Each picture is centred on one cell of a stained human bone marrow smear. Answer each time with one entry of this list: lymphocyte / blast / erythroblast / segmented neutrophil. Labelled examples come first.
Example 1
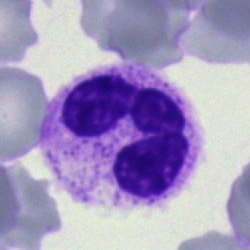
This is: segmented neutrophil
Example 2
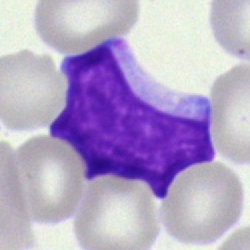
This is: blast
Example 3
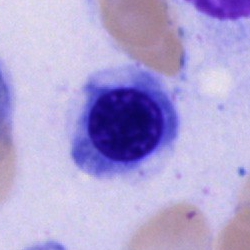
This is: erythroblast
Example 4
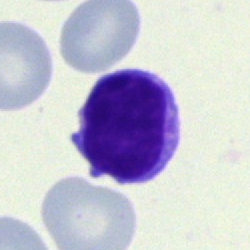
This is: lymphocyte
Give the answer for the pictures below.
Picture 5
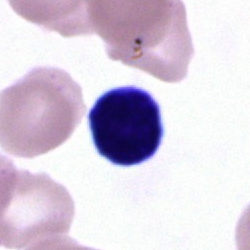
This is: lymphocyte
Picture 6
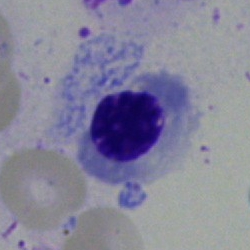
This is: erythroblast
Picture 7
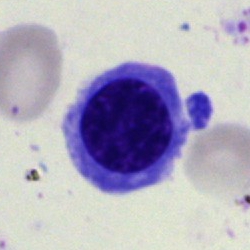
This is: erythroblast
